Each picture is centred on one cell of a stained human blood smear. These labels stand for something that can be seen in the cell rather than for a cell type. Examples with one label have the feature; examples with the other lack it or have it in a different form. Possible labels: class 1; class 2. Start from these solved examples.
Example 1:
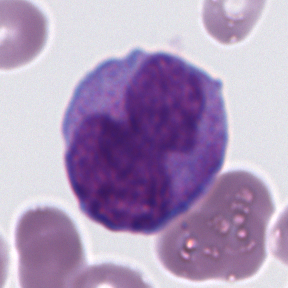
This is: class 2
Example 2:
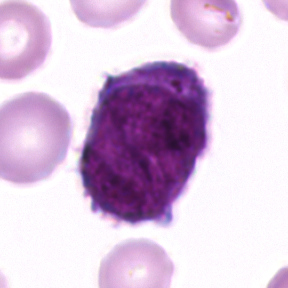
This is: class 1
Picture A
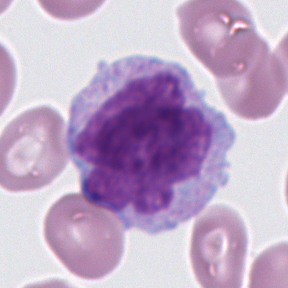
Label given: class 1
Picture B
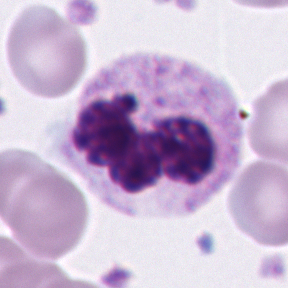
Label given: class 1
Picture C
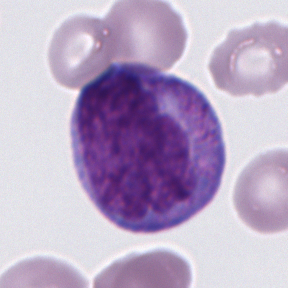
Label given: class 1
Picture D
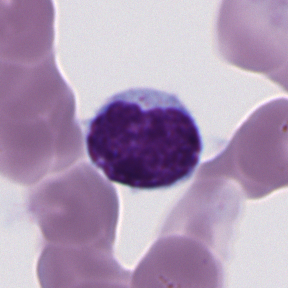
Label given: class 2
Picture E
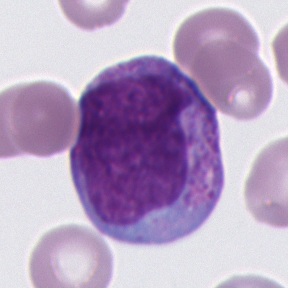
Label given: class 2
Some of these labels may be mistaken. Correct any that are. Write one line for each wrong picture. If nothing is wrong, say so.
B: change class 1 to class 2
C: change class 1 to class 2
